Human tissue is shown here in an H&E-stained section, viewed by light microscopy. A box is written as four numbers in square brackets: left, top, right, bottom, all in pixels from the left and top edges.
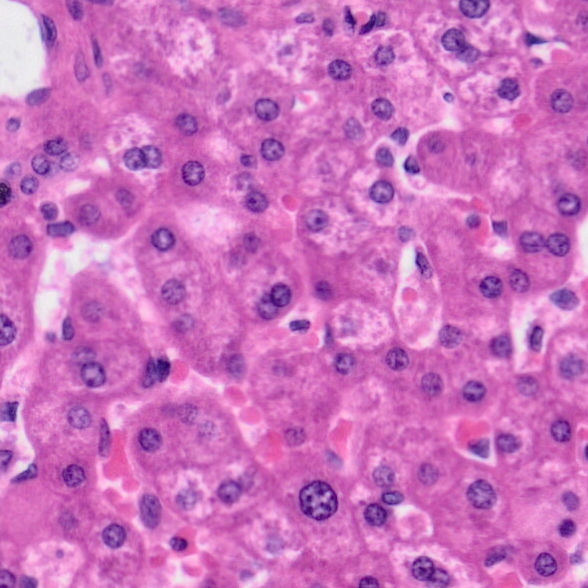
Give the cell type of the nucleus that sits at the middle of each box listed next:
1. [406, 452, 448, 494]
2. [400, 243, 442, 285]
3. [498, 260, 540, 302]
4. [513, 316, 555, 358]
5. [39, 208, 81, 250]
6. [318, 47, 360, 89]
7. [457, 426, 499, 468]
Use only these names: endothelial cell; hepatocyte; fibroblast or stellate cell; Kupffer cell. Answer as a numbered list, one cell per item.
1. hepatocyte
2. Kupffer cell
3. hepatocyte
4. Kupffer cell
5. fibroblast or stellate cell
6. hepatocyte
7. endothelial cell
